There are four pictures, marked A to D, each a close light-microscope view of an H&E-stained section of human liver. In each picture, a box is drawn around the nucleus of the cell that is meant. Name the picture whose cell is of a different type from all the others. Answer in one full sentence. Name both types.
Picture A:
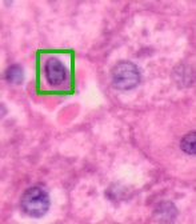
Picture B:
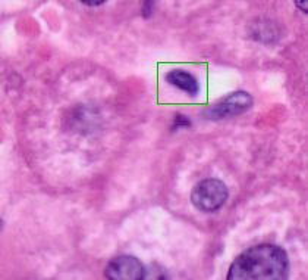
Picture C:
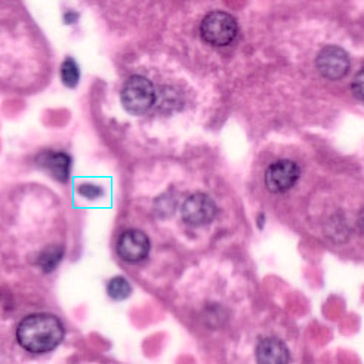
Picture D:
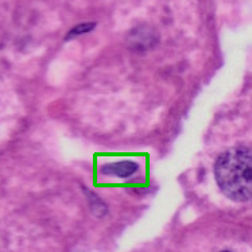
The others show lymphocytes, but picture A shows a Kupffer cell.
